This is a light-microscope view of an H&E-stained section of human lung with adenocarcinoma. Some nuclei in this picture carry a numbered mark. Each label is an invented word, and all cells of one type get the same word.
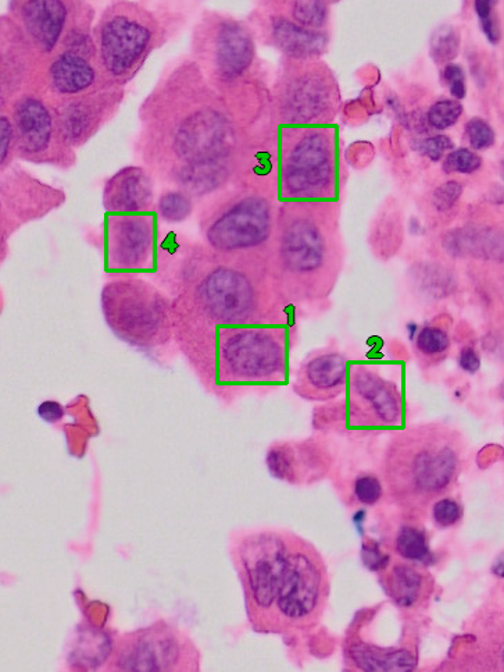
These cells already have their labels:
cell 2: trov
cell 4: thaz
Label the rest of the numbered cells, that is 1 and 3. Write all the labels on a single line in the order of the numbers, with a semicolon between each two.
thaz; thaz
